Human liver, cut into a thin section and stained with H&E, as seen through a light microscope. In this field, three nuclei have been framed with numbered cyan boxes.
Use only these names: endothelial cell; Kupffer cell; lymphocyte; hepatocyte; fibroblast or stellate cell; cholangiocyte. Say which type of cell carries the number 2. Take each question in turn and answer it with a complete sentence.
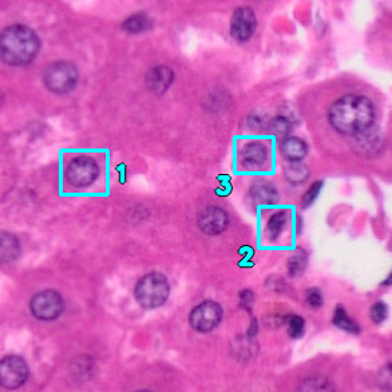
The cell referred to as 2 is a fibroblast or stellate cell.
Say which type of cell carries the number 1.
The marked cell with the number 1 is recognised as a hepatocyte.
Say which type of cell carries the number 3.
The one labeled 3 is a cholangiocyte, to put it simply.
